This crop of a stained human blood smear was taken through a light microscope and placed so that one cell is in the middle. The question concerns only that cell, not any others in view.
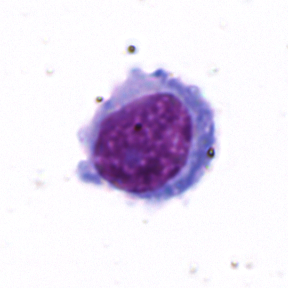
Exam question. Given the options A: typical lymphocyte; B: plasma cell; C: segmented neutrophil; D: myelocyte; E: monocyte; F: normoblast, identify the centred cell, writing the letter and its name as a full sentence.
In the centre of the crop there is a plasma cell, making option B correct.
